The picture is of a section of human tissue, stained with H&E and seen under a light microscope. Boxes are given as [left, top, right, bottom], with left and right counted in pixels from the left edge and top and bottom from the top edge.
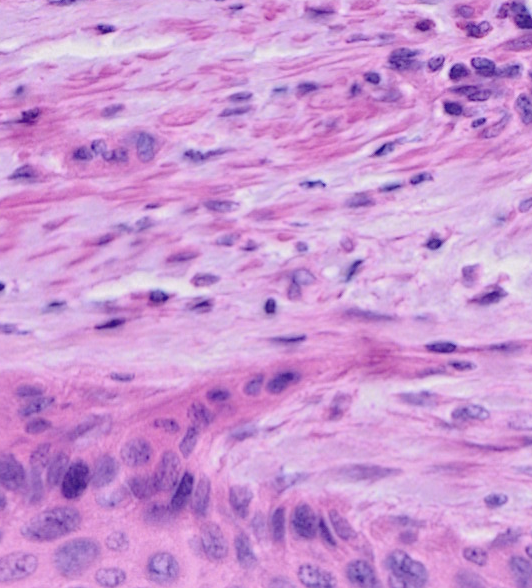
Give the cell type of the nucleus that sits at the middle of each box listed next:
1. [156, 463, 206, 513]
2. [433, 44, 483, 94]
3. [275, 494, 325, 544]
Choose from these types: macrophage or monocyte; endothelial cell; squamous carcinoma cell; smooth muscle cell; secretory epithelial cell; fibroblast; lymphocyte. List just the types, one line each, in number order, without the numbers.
squamous carcinoma cell
lymphocyte
squamous carcinoma cell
